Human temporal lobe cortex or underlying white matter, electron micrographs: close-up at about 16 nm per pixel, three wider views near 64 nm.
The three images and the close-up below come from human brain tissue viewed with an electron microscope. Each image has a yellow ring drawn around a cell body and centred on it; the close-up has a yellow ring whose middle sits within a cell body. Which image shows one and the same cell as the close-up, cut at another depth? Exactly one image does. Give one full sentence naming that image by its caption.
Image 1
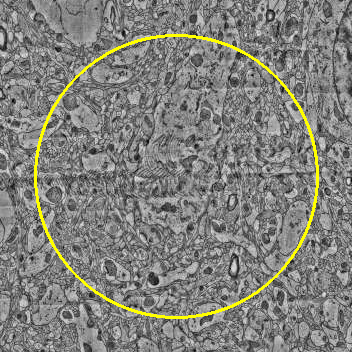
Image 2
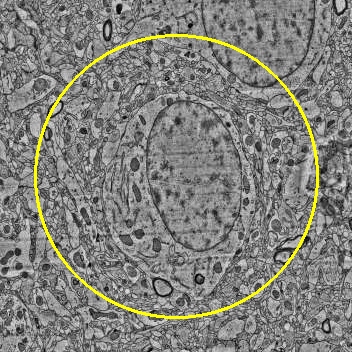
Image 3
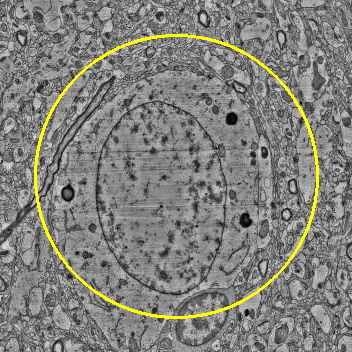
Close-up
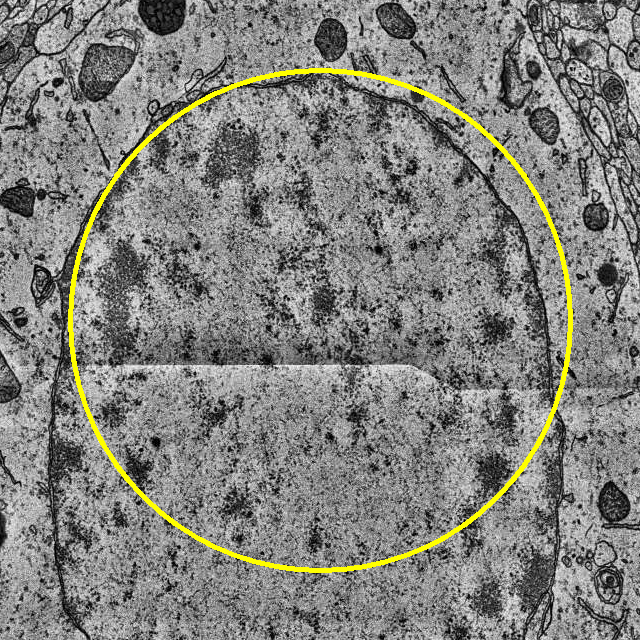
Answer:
The cell shown in the close-up is the one marked in Image 1.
